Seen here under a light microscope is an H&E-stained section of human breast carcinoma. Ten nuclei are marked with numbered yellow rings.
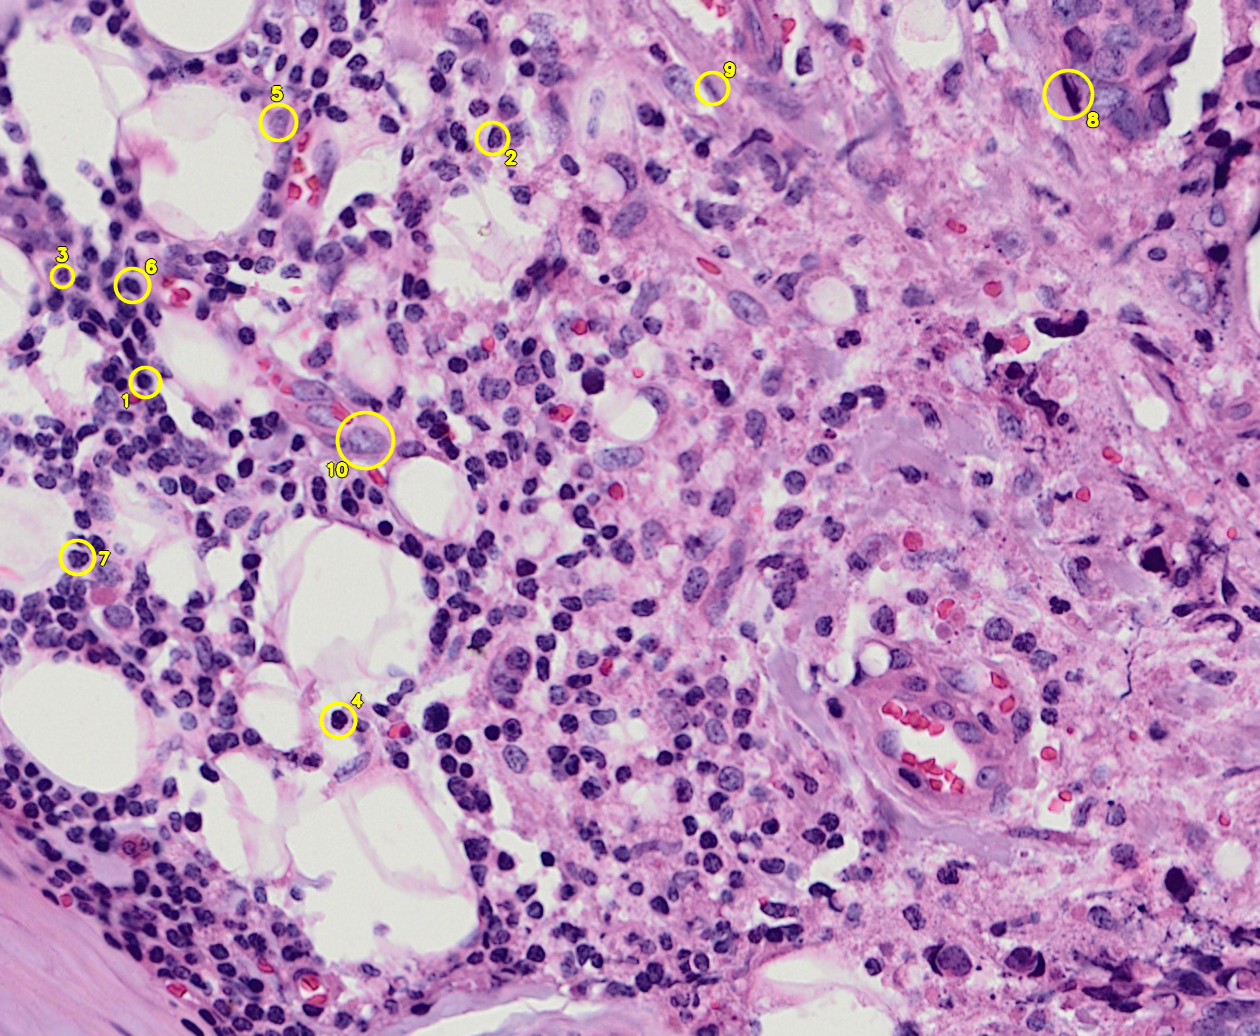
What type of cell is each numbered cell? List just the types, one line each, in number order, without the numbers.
lymphocyte
lymphocyte
lymphocyte
lymphocyte
endothelial cell
lymphocyte
lymphocyte
carcinoma cell
fibroblast
endothelial cell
